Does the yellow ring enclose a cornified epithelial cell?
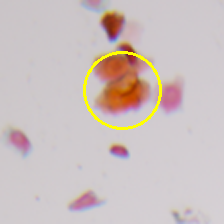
Yes. The ring encloses a cornified epithelial cell.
